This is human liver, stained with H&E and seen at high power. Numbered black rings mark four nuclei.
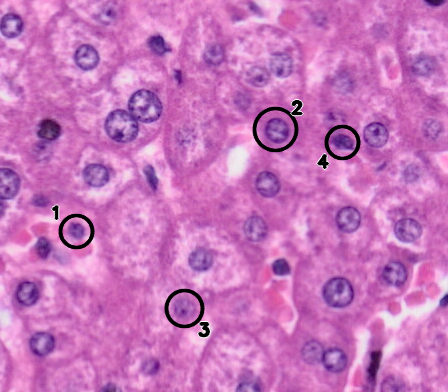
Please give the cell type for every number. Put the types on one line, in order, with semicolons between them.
lymphocyte; hepatocyte; hepatocyte; fibroblast or stellate cell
